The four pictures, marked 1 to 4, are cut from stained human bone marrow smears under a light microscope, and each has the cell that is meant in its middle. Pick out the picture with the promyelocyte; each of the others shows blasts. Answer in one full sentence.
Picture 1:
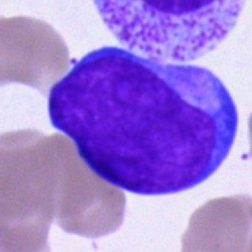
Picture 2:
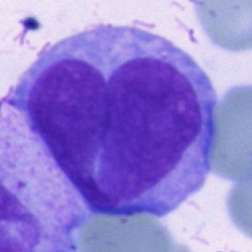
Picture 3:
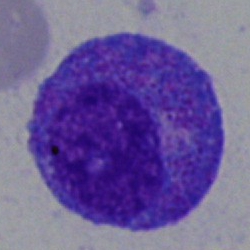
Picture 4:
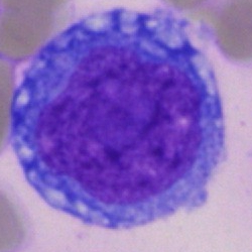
It is picture 3 that shows the promyelocyte.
